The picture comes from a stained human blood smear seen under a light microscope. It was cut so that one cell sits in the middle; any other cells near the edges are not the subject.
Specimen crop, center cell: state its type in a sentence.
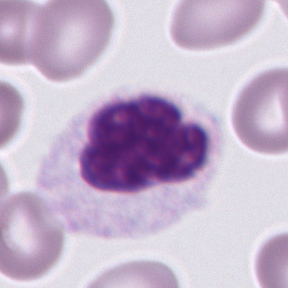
Present in the middle of the crop is a segmented neutrophil.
